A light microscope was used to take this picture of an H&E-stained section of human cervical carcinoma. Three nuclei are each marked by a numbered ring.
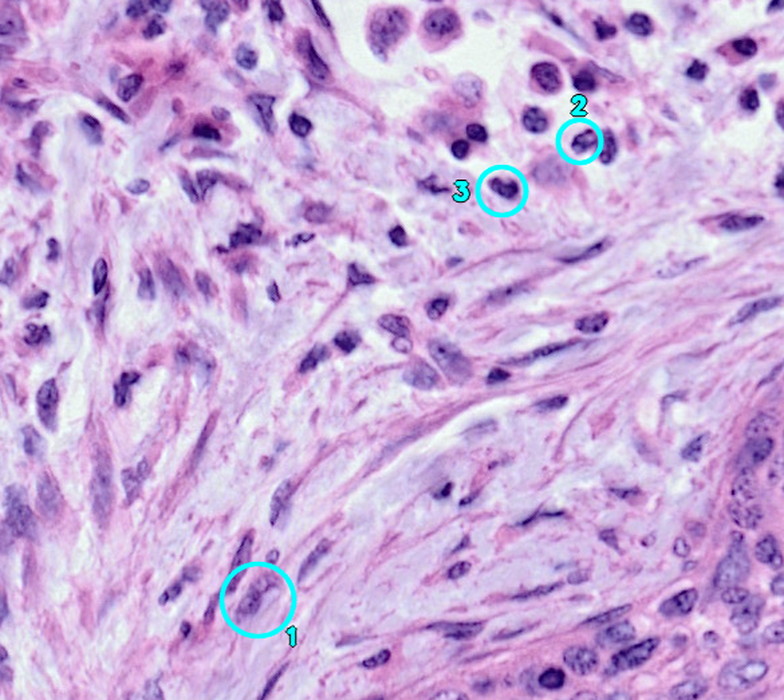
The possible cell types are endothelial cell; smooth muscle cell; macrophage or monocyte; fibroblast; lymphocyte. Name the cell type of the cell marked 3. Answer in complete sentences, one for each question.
Number 3 among the marked cells is a lymphocyte.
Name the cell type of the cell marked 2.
The identity of cell 2 is that of a lymphocyte.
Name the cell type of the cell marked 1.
The cell bearing label 1 corresponds to a fibroblast.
